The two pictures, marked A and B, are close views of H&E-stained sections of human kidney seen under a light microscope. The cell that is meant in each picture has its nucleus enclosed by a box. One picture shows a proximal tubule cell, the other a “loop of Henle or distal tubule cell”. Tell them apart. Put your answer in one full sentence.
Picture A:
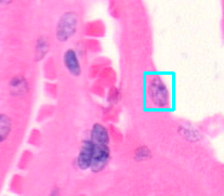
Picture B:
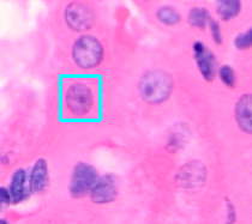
Picture B shows a proximal tubule cell, while picture A shows a “loop of Henle or distal tubule cell”.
